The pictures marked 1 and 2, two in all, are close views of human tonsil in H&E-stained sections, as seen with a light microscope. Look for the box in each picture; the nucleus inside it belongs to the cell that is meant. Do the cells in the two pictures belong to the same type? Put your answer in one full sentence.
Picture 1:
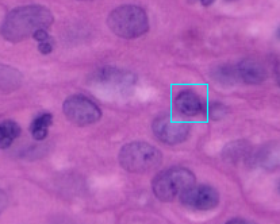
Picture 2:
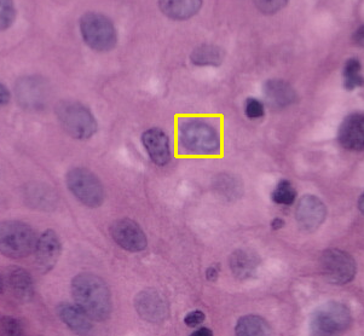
Yes; the cells in both pictures are squamous epithelial cells.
